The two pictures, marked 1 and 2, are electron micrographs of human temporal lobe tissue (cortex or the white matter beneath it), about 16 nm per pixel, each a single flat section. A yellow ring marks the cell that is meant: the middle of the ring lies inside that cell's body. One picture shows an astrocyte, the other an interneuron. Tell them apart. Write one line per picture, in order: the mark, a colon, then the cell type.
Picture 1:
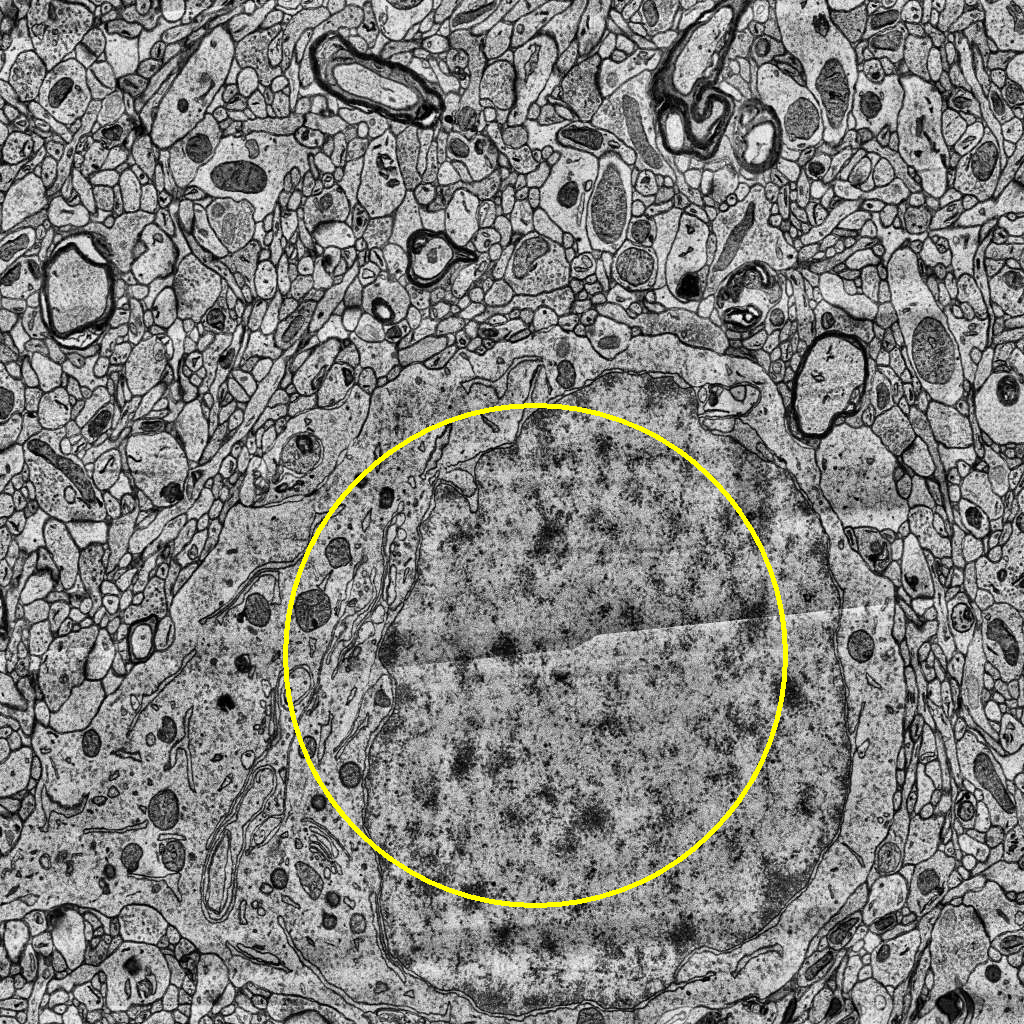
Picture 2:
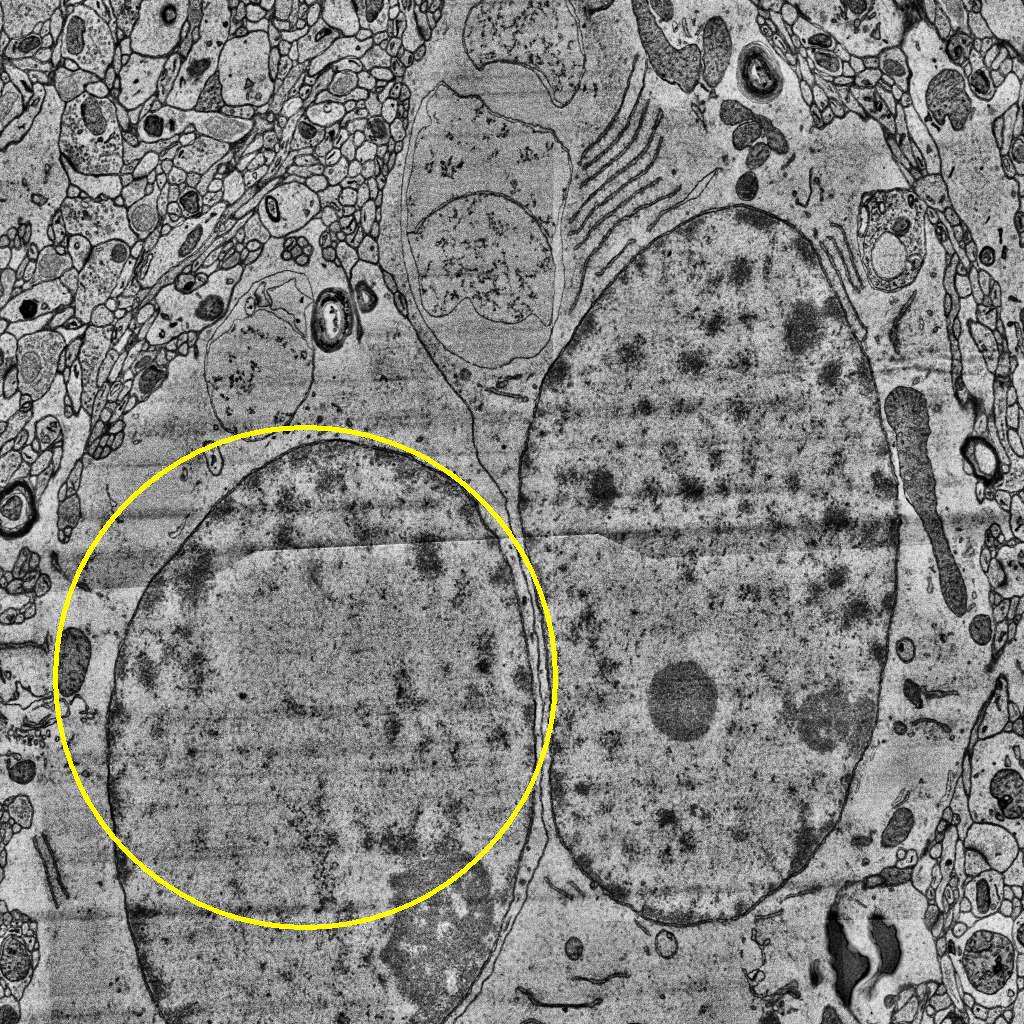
1: interneuron
2: astrocyte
